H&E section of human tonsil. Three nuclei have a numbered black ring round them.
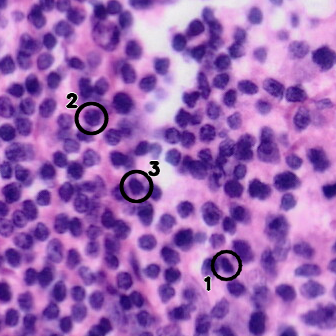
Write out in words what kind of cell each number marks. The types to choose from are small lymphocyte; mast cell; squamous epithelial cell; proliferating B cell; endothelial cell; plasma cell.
Cell 1 is a proliferating B cell. Cells 2 and 3 are small lymphocytes.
